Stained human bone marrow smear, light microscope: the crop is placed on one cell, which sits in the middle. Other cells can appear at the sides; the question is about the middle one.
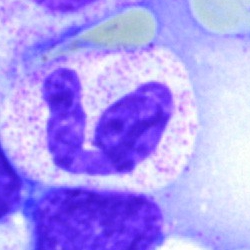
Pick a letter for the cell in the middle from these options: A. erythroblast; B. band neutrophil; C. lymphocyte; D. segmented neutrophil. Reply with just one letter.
D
